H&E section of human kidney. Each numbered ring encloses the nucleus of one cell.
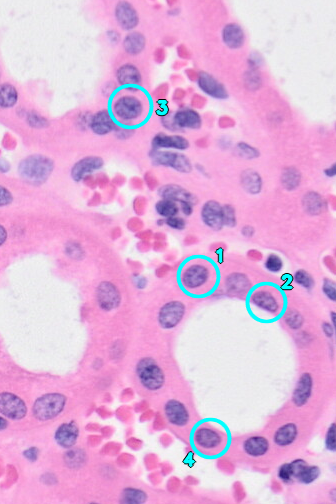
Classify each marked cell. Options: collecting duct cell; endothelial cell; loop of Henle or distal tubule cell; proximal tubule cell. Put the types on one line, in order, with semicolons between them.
collecting duct cell; loop of Henle or distal tubule cell; collecting duct cell; collecting duct cell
